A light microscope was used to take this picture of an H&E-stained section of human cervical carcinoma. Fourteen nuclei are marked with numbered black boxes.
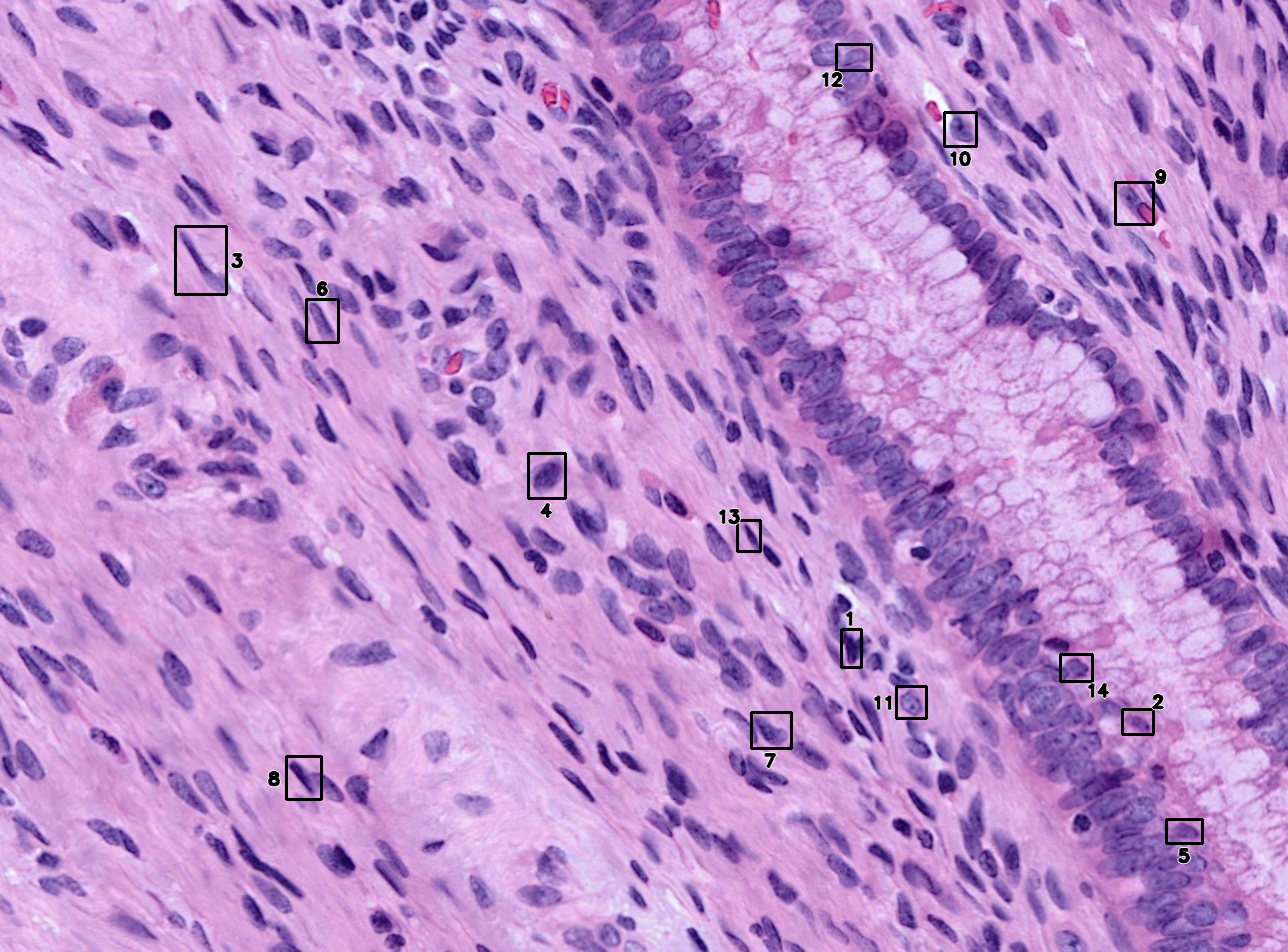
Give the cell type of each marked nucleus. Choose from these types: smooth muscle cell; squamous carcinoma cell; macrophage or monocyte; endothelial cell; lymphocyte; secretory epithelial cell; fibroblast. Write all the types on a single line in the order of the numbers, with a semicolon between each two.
lymphocyte; secretory epithelial cell; fibroblast; fibroblast; secretory epithelial cell; fibroblast; fibroblast; fibroblast; endothelial cell; endothelial cell; endothelial cell; secretory epithelial cell; fibroblast; secretory epithelial cell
